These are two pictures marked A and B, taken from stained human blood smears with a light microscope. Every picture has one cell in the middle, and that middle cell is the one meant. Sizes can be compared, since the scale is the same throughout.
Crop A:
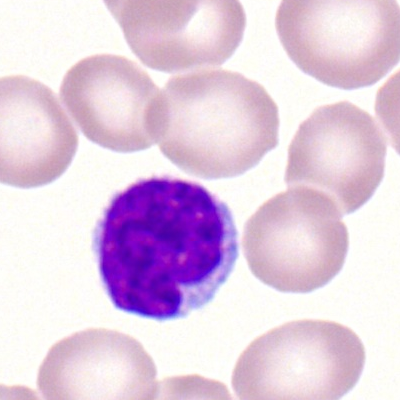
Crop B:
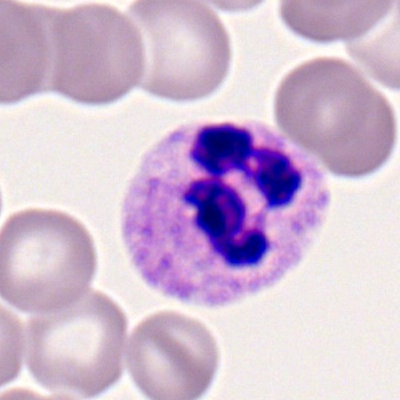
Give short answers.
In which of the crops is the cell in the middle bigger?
B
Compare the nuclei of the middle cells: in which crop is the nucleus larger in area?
A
